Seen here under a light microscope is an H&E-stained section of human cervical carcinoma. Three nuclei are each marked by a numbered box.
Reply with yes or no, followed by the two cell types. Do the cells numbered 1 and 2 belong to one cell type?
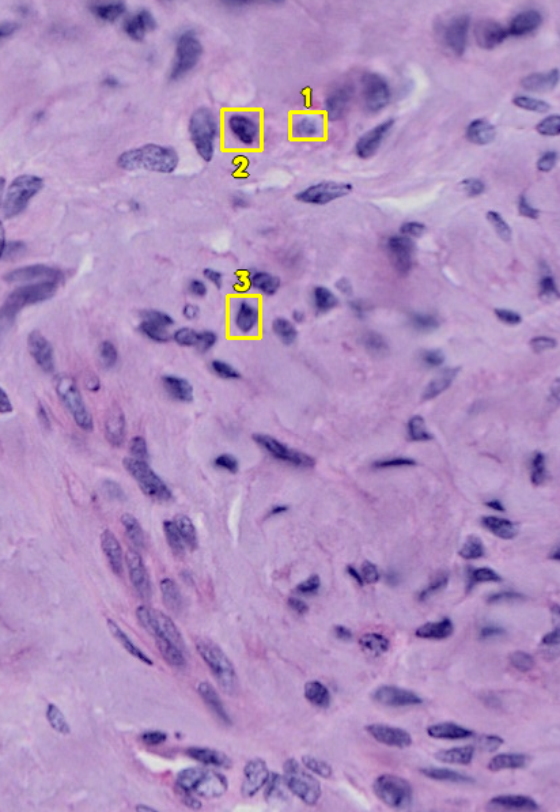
Yes, cells 1 and 2 are both recognised as endothelial cells.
